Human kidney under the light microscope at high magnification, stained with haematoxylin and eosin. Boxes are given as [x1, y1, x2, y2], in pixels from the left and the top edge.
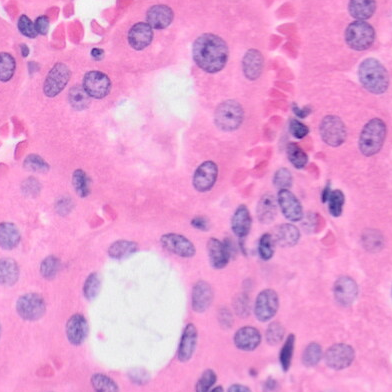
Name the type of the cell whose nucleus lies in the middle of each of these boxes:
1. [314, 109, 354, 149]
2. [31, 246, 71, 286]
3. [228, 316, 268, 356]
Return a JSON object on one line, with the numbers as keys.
{"1": "proximal tubule cell", "2": "loop of Henle or distal tubule cell", "3": "collecting duct cell"}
